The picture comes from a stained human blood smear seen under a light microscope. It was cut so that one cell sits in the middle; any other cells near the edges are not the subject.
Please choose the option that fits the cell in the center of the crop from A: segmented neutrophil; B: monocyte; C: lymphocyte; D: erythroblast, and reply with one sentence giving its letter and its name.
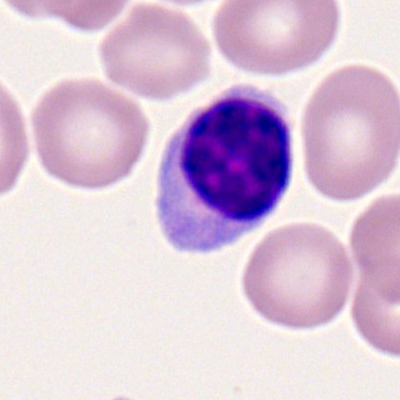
The central cell, an erythroblast, is correctly identified by option D.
